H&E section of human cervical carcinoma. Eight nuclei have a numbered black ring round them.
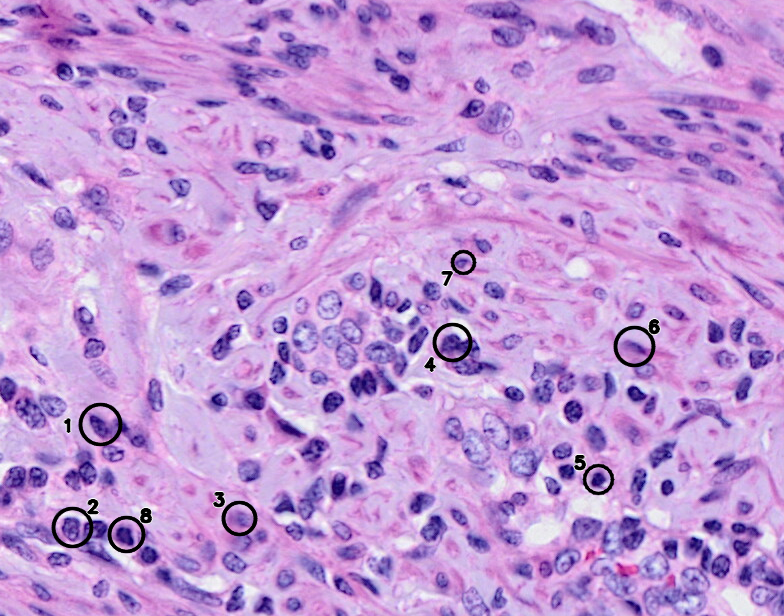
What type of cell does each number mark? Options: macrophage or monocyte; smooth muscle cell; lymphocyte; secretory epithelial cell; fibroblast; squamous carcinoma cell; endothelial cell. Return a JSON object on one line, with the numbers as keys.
{"1": "lymphocyte", "2": "lymphocyte", "3": "smooth muscle cell", "4": "lymphocyte", "5": "lymphocyte", "6": "smooth muscle cell", "7": "smooth muscle cell", "8": "lymphocyte"}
